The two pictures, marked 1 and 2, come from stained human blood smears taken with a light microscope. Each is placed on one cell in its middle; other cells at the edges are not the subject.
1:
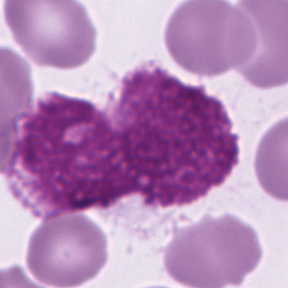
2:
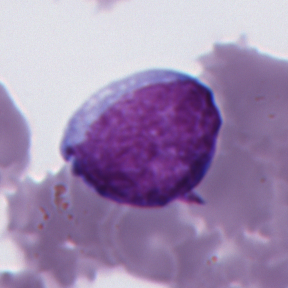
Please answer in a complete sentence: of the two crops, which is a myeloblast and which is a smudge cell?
Crop 1 is a smudge cell, and crop 2 is a myeloblast.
